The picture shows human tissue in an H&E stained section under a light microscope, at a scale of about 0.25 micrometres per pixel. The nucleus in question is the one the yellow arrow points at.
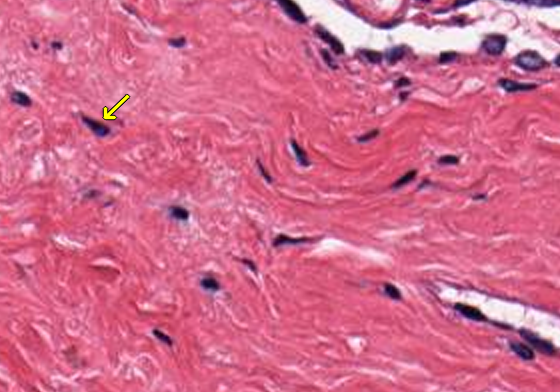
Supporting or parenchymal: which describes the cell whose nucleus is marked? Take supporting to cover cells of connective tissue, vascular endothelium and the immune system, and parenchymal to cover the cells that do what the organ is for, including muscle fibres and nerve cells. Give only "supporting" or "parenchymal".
supporting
